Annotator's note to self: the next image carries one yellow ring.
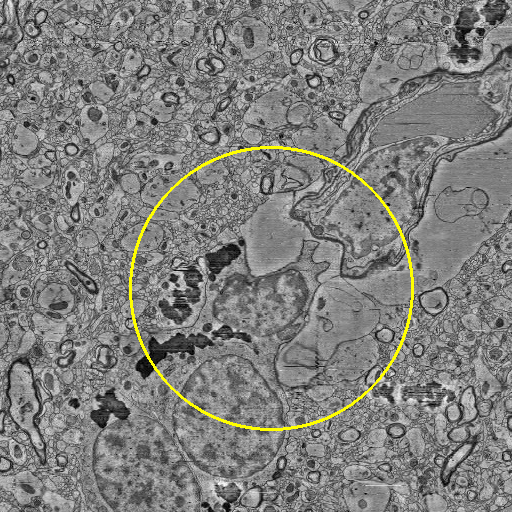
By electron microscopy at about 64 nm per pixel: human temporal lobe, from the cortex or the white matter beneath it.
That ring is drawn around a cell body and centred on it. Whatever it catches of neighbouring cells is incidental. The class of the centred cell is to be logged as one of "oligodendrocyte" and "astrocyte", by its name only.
oligodendrocyte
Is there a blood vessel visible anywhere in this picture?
Yes, there is a blood vessel.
